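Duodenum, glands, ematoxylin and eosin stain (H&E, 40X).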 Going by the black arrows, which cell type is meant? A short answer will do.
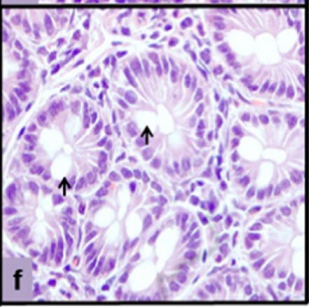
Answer: Goblet cells.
